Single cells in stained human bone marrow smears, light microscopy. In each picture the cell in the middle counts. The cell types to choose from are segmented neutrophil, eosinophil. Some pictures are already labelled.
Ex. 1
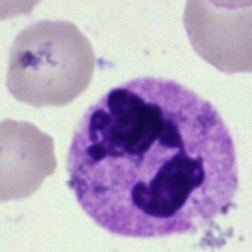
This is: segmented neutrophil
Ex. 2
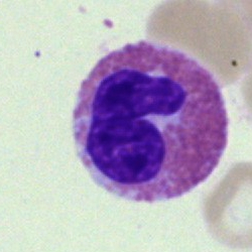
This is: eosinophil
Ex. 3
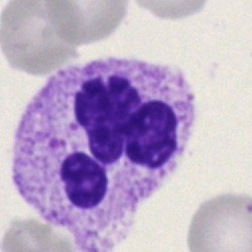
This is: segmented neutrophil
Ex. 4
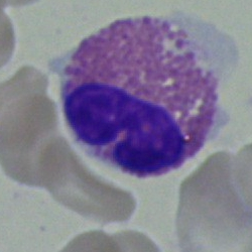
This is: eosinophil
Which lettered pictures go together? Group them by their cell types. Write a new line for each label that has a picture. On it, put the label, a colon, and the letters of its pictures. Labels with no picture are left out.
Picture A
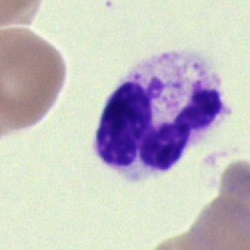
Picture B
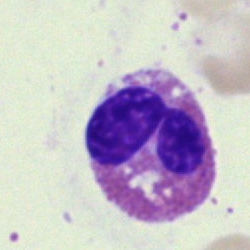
segmented neutrophil: A
eosinophil: B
